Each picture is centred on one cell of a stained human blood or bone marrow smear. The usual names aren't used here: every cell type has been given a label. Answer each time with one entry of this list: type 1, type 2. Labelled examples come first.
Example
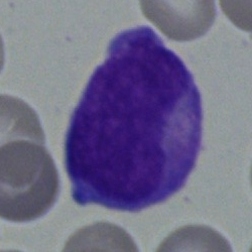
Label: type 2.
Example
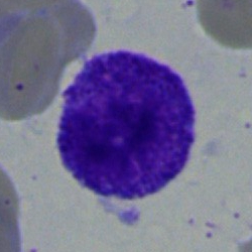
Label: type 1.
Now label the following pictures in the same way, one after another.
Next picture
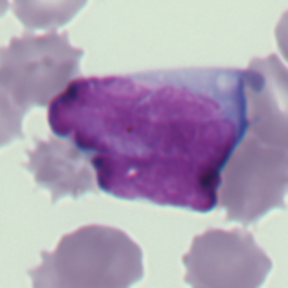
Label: type 2.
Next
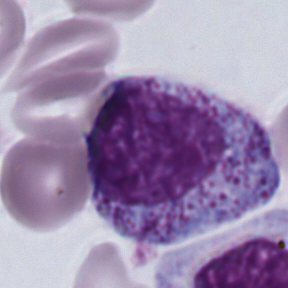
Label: type 1.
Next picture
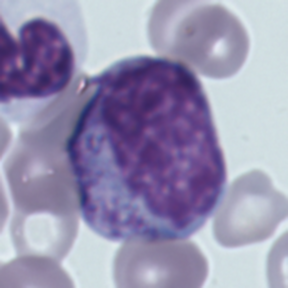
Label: type 1.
